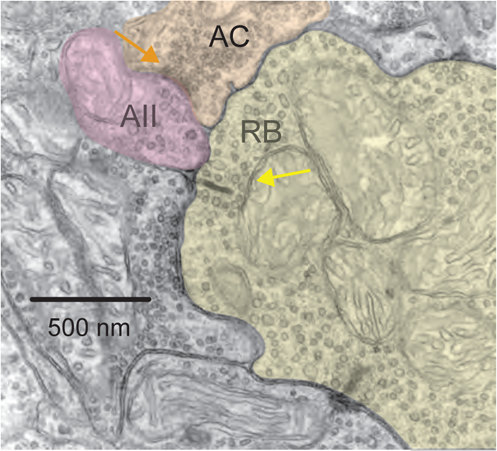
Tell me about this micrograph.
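This electron micrograph shows neuropil of the retina with a large presynaptic terminal, tinted yellow, packed with small round synaptic vesicles and containing mitochondria. At its membrane facing a smaller pink-tinted postsynaptic process lies a dark, elongated bar-like density, a synaptic ribbon. Just above, a small orange-tinted process containing vesicles abuts the same pink process, forming a second, conventional contact onto it. Surrounding the complex are other neuronal processes cut in cross section.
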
